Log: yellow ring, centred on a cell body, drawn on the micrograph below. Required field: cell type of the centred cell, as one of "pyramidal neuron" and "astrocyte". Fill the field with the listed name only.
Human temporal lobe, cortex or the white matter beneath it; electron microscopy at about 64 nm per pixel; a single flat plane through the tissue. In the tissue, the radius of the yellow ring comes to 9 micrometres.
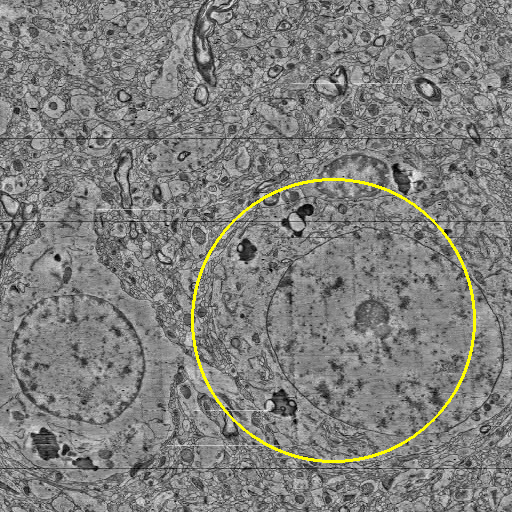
pyramidal neuron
